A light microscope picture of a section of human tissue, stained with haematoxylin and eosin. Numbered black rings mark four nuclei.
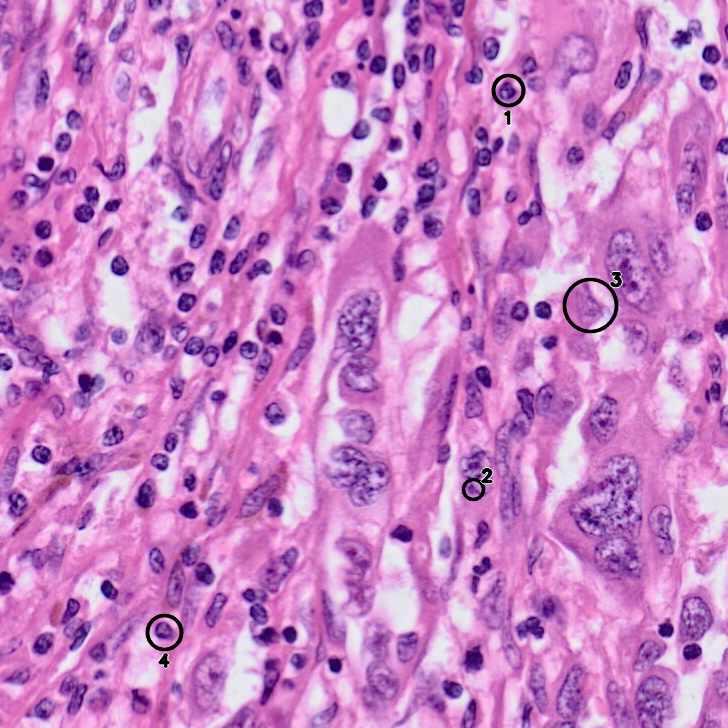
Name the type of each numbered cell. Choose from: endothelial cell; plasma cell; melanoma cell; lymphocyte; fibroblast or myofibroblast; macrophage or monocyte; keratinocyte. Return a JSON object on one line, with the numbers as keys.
{"1": "plasma cell", "2": "melanoma cell", "3": "melanoma cell", "4": "lymphocyte"}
